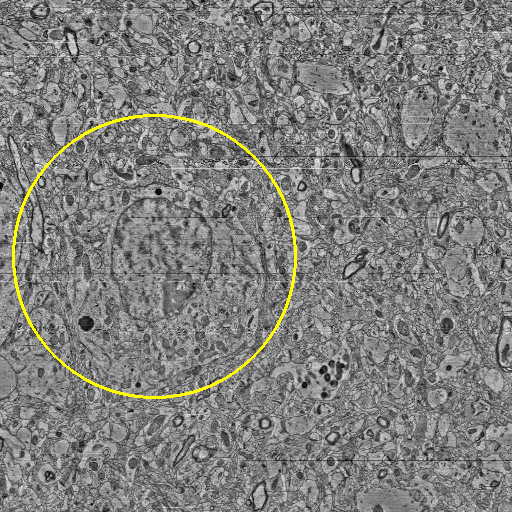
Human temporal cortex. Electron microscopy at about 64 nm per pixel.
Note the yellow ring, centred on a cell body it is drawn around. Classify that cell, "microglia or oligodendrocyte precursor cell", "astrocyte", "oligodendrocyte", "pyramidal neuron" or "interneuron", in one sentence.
The cell the ring is centred on is an interneuron.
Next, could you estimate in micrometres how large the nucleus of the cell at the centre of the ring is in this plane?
About 8 by 7 micrometres in this plane.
